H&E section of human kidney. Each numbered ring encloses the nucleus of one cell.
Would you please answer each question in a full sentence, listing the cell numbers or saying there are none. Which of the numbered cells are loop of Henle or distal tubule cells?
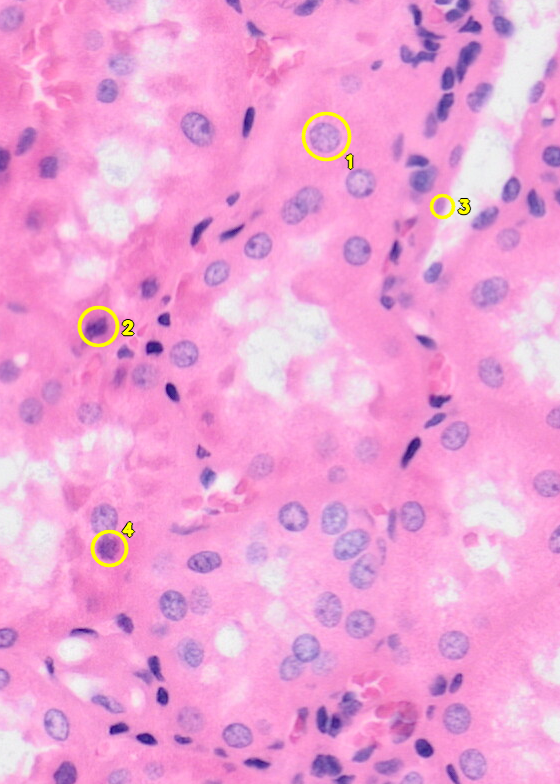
There is just one numbered cell that is a loop of Henle or distal tubule cell, and it is cell 3.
